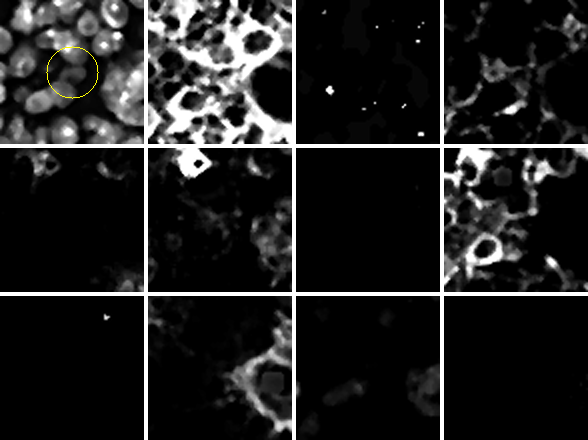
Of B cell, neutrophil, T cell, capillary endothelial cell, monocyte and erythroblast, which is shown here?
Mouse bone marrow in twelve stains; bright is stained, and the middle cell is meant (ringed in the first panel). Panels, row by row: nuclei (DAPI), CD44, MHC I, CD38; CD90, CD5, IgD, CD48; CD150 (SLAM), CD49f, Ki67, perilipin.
monocyte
